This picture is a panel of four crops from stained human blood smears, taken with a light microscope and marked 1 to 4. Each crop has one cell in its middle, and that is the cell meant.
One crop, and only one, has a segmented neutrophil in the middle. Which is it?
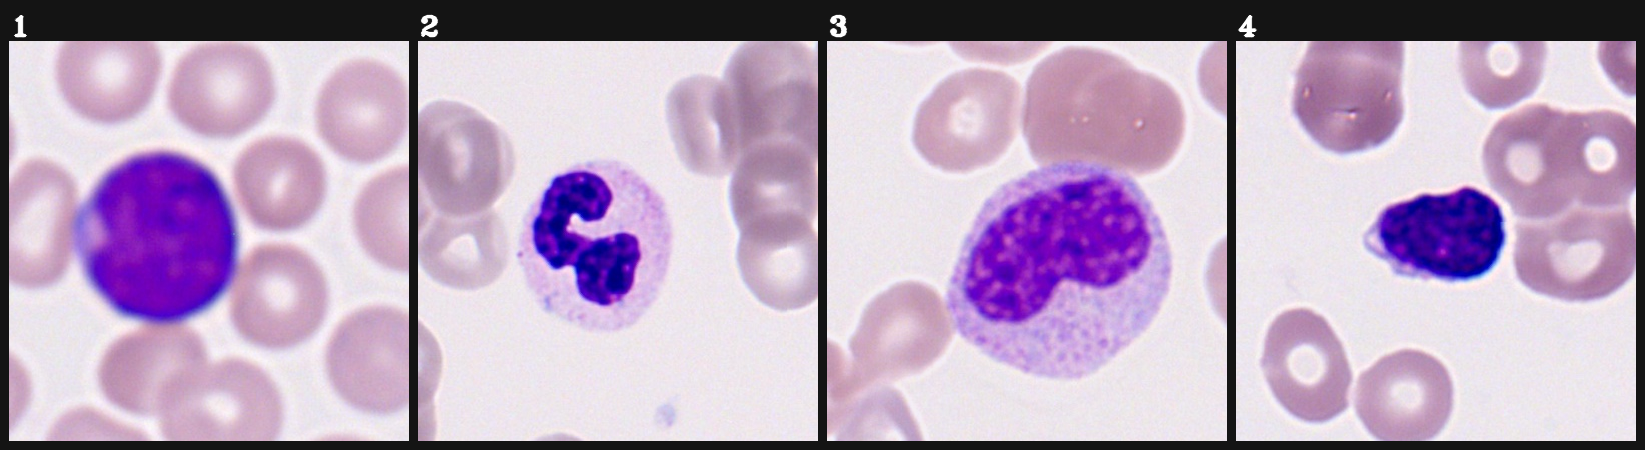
2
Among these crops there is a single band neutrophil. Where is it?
3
